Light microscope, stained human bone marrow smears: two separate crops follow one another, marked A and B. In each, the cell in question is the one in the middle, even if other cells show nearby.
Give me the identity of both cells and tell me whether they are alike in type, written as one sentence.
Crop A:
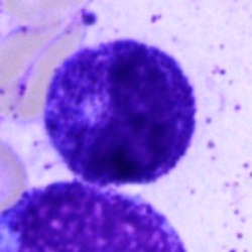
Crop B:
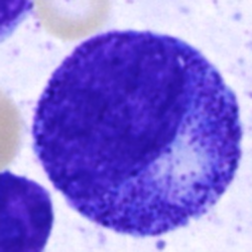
Yes, promyelocytes are shown in both crops.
